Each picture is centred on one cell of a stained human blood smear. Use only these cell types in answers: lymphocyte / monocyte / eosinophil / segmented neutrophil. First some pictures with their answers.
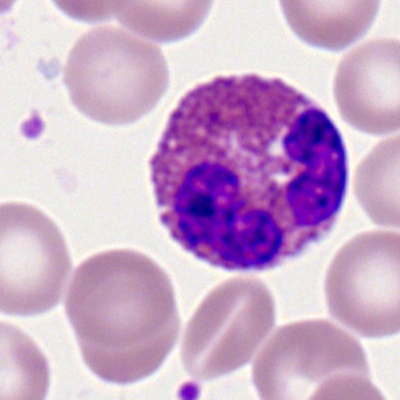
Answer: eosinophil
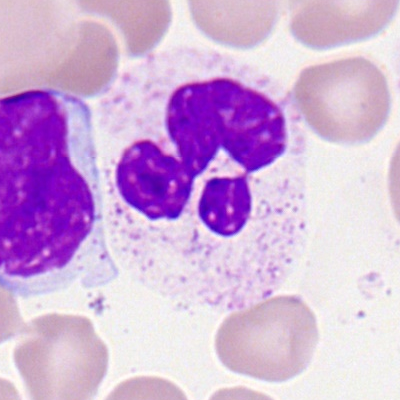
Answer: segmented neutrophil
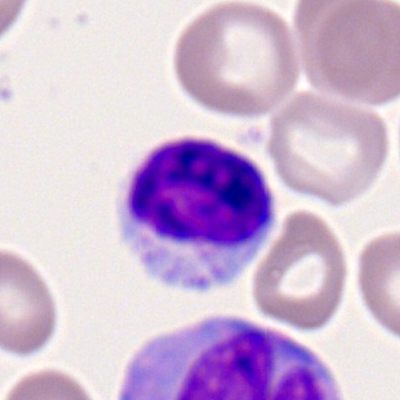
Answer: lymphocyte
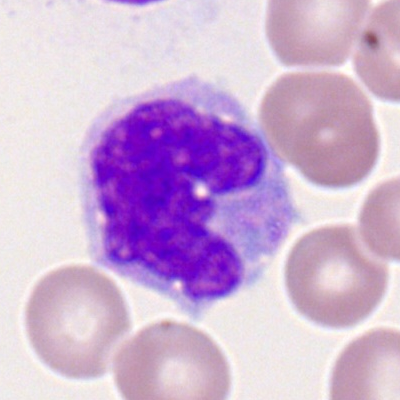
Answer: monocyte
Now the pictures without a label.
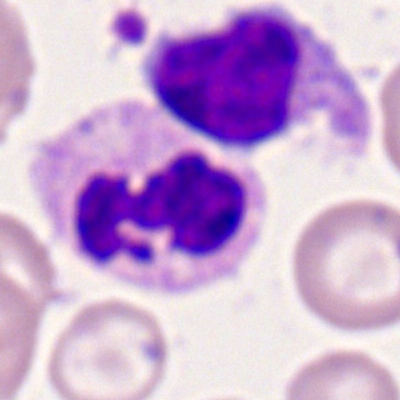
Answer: segmented neutrophil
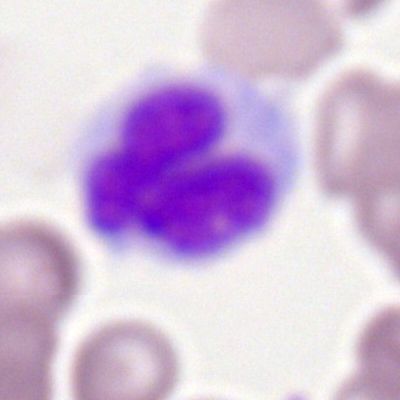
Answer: monocyte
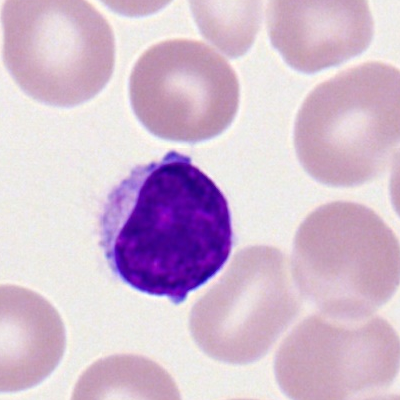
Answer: lymphocyte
